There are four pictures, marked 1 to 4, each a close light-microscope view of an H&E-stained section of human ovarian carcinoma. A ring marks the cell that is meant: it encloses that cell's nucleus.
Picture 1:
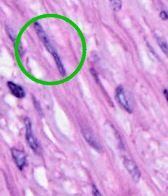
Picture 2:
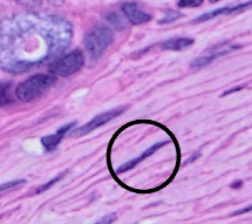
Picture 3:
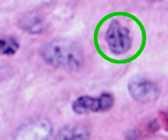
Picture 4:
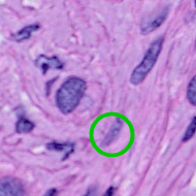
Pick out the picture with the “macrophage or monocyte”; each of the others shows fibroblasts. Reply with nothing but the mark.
3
